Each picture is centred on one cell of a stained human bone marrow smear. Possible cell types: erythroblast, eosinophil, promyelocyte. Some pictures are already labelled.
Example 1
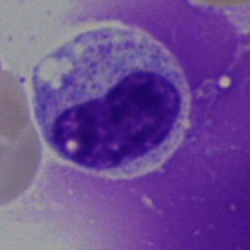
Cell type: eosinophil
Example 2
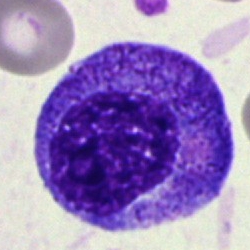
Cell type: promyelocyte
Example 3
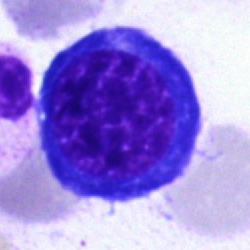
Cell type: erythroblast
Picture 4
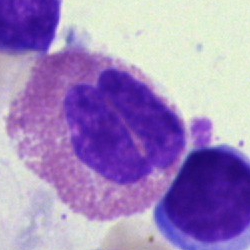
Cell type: eosinophil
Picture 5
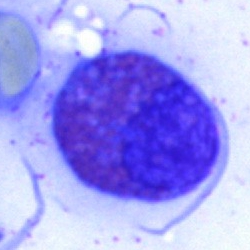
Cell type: eosinophil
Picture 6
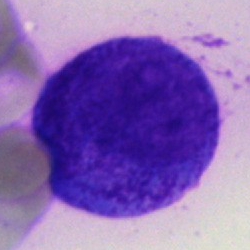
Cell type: promyelocyte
